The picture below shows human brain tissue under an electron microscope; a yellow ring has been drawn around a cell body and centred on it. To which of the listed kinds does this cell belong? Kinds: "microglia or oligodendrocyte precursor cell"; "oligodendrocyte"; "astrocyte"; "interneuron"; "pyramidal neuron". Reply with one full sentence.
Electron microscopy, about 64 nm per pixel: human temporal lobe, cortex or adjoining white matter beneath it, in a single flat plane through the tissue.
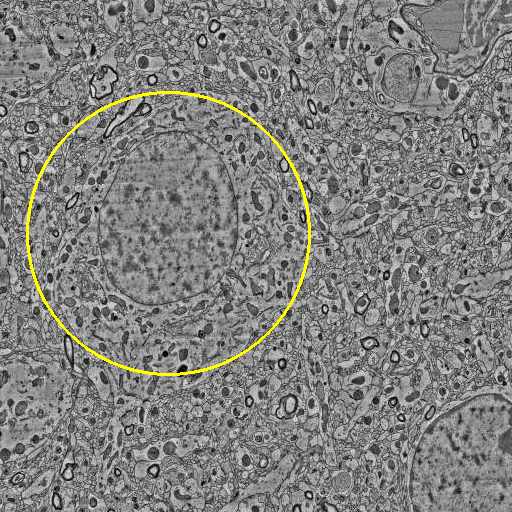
It is an interneuron that the yellow ring in the picture is centred on.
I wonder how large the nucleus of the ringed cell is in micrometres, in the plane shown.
The nucleus is approximately 11 micrometers long by 9 micrometers wide in this plane.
